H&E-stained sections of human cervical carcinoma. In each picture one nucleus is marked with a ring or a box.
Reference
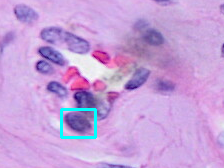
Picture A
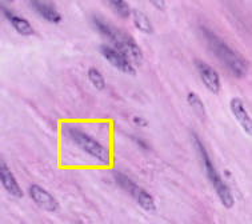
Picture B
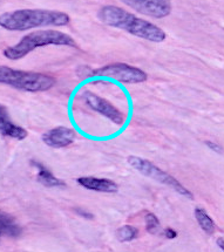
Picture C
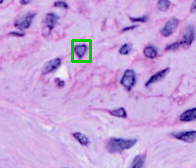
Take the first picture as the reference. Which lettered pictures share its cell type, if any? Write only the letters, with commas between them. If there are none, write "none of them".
none of them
